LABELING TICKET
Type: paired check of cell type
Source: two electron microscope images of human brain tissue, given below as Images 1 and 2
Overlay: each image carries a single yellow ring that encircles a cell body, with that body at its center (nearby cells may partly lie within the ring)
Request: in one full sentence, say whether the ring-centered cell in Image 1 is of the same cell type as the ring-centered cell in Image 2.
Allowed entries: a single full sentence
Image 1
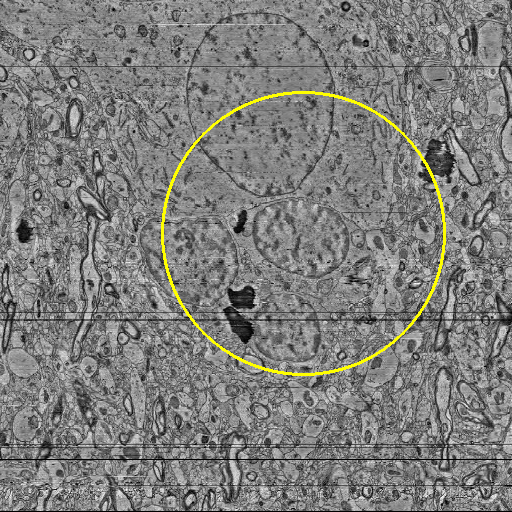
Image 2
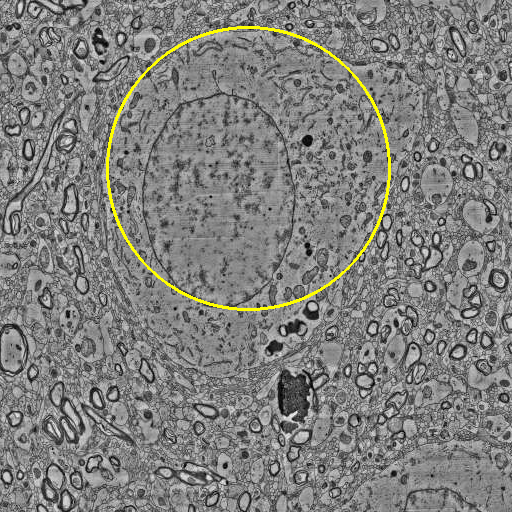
No, the cells centered in the rings of Image 1 and Image 2 are of two types.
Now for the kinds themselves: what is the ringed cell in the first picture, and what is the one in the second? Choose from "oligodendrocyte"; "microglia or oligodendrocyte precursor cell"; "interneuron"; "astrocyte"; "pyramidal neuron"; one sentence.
Here the first cell is an oligodendrocyte and the second cell is a pyramidal neuron.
